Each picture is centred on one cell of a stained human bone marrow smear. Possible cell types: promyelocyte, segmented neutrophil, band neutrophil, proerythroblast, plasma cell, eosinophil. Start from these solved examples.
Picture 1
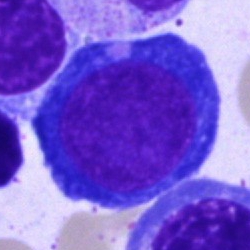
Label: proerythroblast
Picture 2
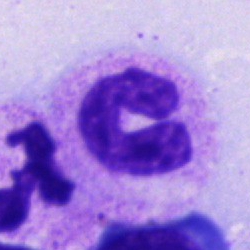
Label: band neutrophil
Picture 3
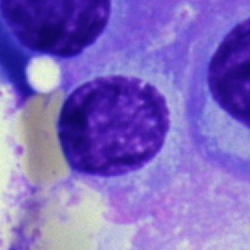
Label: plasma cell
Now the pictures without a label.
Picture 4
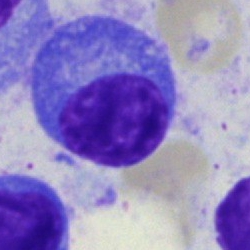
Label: plasma cell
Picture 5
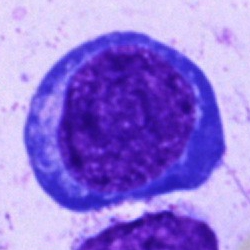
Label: proerythroblast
